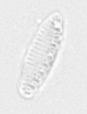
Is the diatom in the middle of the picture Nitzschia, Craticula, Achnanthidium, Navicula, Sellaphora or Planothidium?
It is Nitzschia.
